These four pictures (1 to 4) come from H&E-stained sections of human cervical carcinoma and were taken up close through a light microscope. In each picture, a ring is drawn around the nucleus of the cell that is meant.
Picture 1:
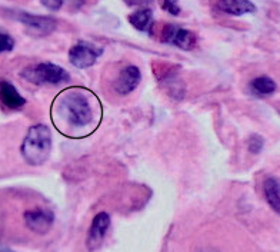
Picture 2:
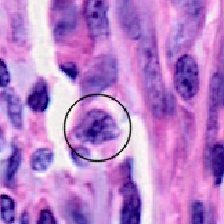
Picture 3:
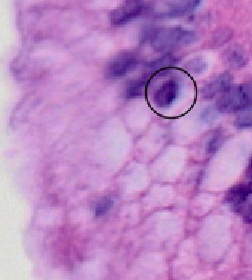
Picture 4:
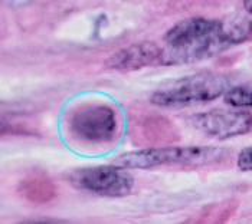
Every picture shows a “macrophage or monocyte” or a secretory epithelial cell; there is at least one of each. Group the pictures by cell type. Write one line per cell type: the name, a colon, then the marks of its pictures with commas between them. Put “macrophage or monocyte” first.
macrophage or monocyte: 1, 2, 4
secretory epithelial cell: 3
